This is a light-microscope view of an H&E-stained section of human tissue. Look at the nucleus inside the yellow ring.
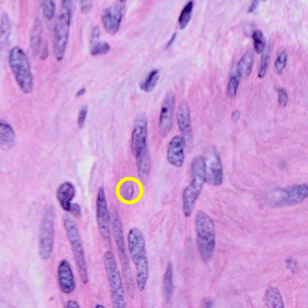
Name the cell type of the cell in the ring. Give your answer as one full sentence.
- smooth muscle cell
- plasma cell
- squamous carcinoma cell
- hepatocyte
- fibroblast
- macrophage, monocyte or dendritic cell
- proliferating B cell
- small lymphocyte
As to its cell type, the cell in the ring is a smooth muscle cell.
